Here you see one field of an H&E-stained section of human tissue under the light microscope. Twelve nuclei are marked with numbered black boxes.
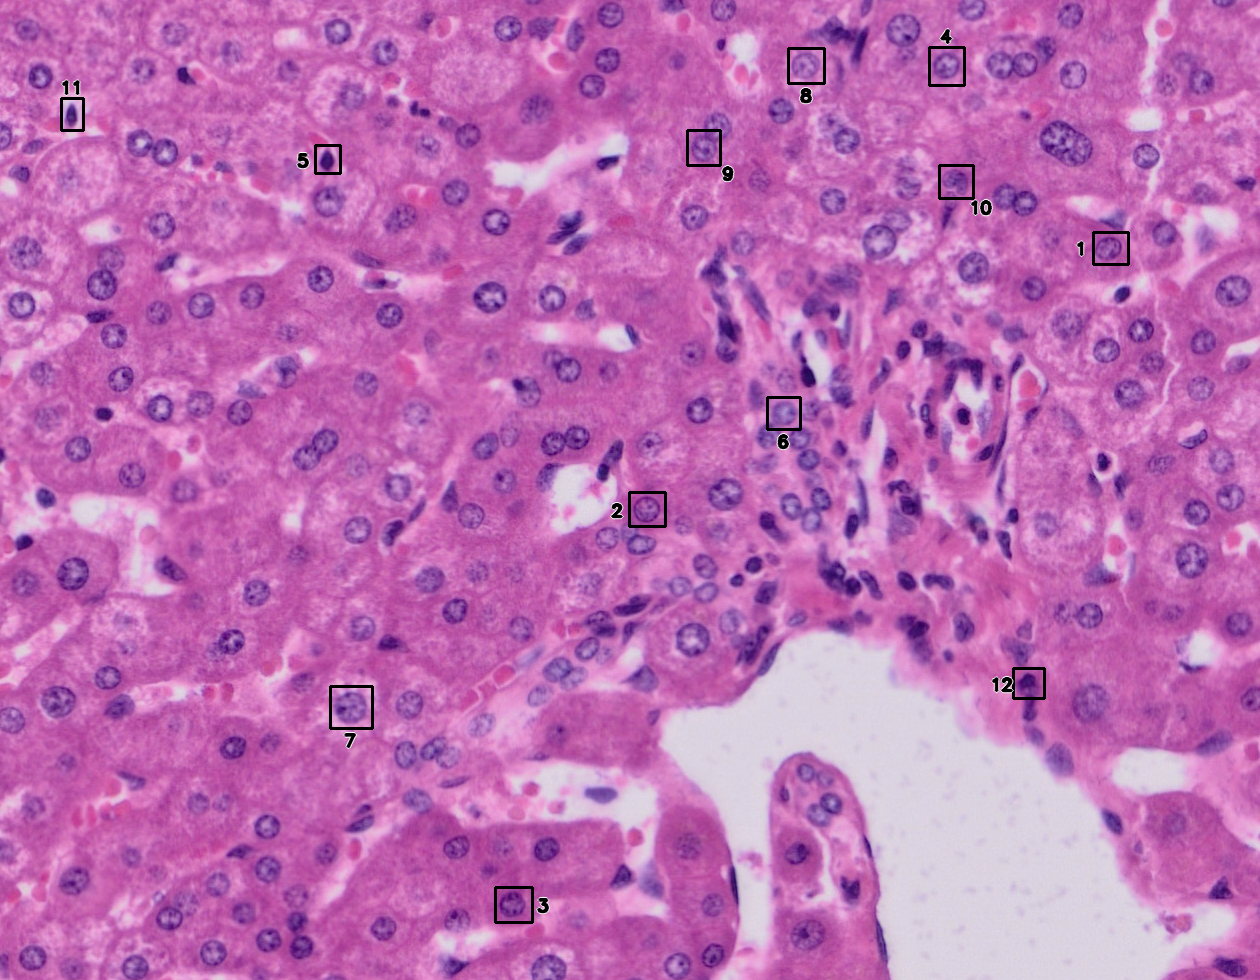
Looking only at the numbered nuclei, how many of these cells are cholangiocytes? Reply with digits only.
1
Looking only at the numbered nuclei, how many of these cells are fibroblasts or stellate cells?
2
